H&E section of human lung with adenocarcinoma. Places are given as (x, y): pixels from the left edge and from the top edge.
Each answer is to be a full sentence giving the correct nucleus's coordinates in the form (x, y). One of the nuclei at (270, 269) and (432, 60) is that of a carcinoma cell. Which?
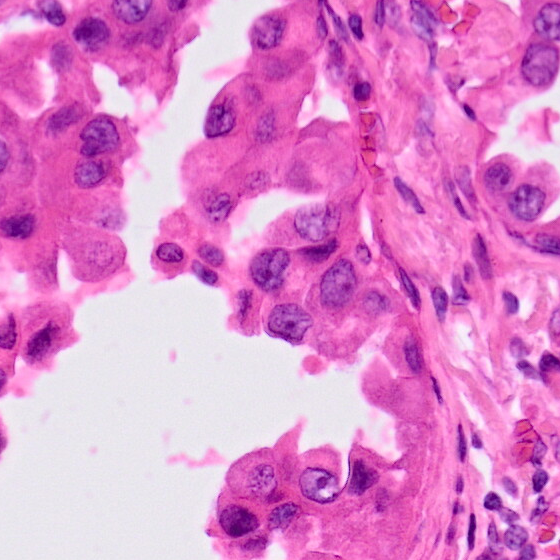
The one at (270, 269) is the nucleus belonging to a carcinoma cell, not the other one.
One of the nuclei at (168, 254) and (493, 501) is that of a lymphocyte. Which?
Of these two nuclei, only the one at (493, 501) belongs to a lymphocyte.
